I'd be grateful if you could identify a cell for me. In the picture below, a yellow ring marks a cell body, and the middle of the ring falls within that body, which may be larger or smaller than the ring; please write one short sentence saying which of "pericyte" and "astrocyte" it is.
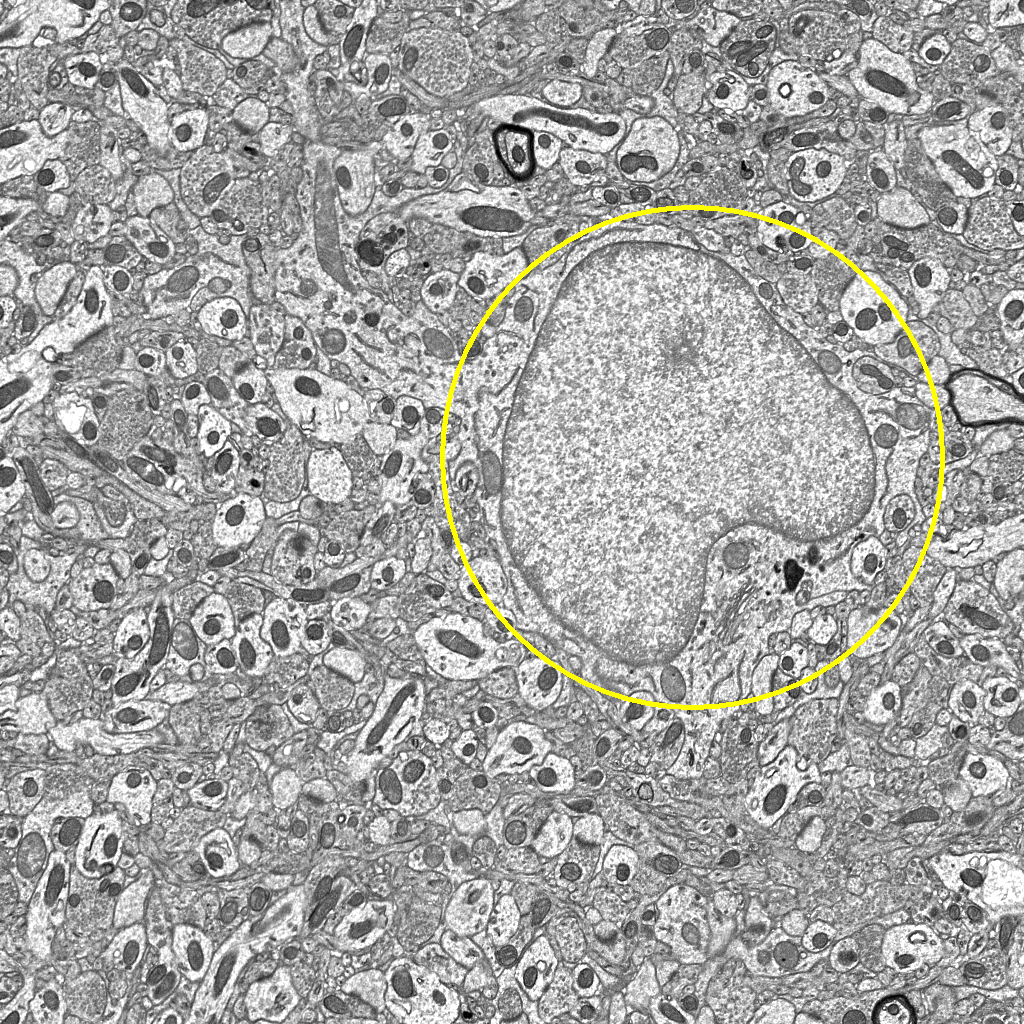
The cell under the ring's centre is an astrocyte.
